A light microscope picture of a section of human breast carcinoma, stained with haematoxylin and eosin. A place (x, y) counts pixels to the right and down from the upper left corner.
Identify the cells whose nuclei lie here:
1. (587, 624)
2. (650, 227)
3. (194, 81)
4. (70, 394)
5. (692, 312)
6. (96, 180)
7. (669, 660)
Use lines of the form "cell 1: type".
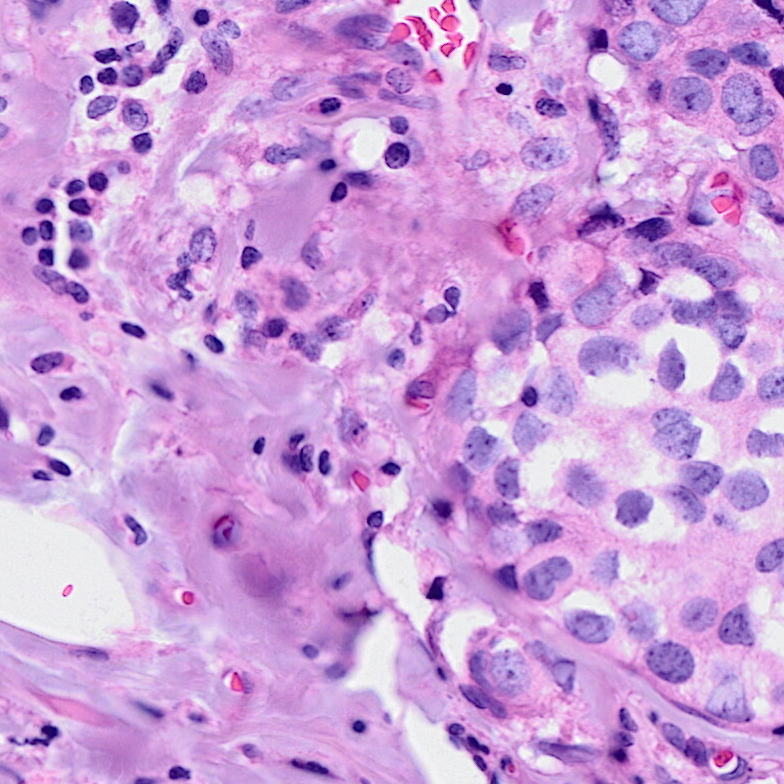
cell 1: carcinoma cell
cell 2: carcinoma cell
cell 3: lymphocyte
cell 4: lymphocyte
cell 5: carcinoma cell
cell 6: lymphocyte
cell 7: carcinoma cell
